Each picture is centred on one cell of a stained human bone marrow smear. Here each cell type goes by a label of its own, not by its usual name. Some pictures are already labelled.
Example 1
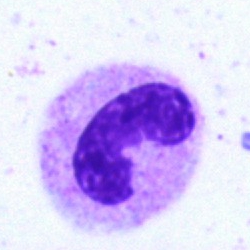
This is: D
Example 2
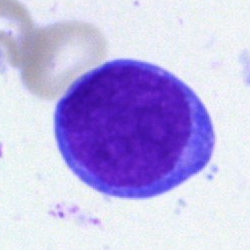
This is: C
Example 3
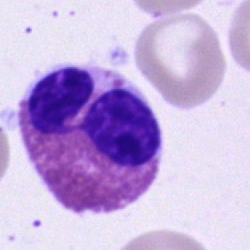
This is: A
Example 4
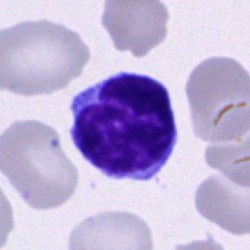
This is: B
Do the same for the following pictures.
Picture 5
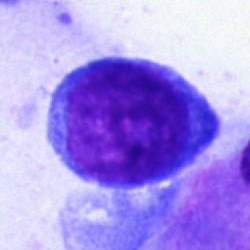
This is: C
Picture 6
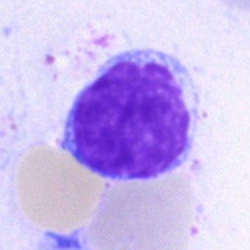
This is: B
